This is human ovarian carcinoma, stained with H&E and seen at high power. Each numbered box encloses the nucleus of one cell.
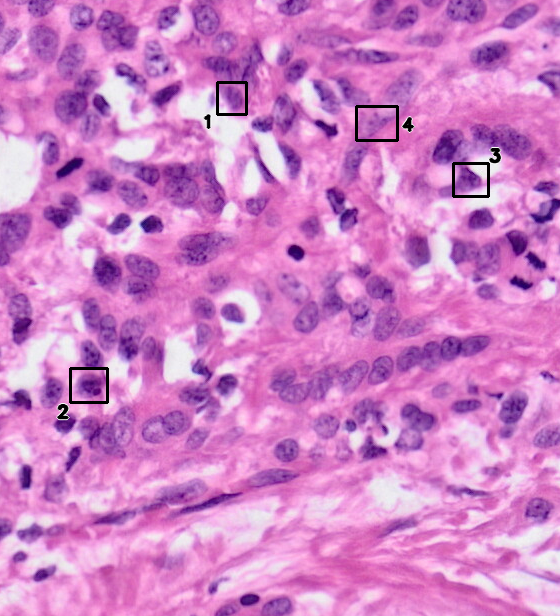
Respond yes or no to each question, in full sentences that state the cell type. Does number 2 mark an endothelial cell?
No, the cell at number 2 is a macrophage or monocyte instead of an endothelial cell.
